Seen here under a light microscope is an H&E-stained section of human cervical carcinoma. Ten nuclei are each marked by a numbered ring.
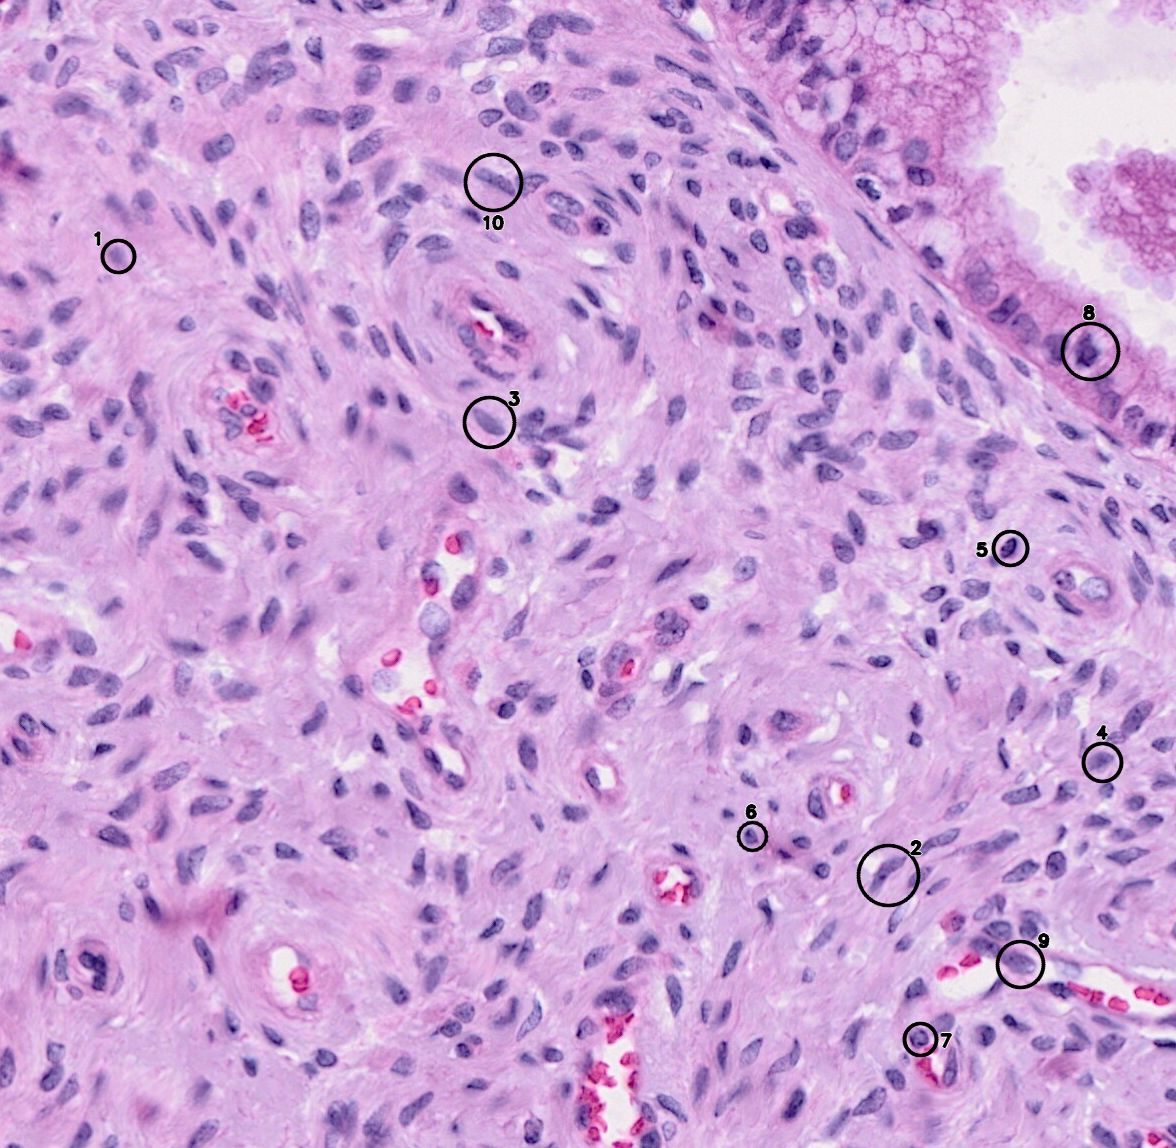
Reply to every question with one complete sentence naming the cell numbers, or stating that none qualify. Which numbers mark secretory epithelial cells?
Unlike the other numbered cells, cell 8 is a secretory epithelial cell.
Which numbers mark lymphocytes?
Among the numbered nuclei, only the one labelled 5 belongs to a lymphocyte.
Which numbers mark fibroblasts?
On this slide, the cells numbered 1, 2, 3, 4, 6 and 10 are fibroblasts.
